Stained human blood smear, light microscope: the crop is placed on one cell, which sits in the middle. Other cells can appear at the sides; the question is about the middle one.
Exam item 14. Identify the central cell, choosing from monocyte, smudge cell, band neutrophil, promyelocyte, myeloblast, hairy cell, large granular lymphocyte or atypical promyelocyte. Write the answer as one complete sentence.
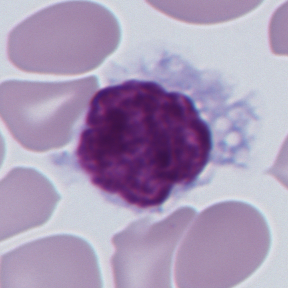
This particular crop is centered on a hairy cell.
